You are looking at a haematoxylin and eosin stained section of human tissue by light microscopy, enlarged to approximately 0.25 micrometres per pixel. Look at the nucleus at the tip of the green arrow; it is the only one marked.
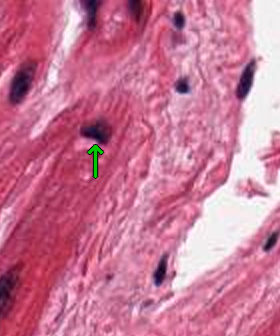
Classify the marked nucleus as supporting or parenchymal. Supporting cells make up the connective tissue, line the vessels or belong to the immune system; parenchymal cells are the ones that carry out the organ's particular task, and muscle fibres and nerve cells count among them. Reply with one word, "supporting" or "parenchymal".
parenchymal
